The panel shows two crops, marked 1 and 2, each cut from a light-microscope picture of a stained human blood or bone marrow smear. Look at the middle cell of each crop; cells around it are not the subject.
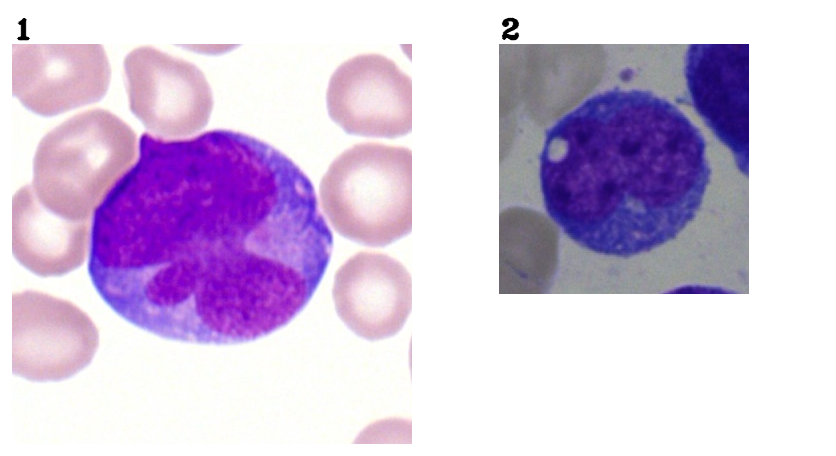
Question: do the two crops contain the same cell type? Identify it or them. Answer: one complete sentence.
Yes, at the centre of both crops are blasts.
